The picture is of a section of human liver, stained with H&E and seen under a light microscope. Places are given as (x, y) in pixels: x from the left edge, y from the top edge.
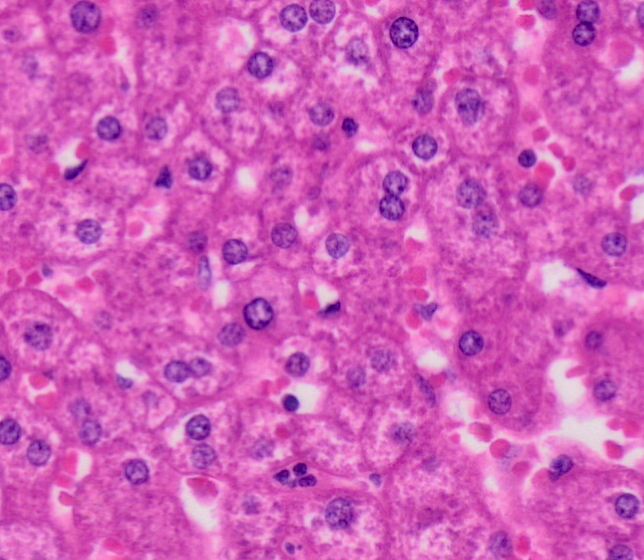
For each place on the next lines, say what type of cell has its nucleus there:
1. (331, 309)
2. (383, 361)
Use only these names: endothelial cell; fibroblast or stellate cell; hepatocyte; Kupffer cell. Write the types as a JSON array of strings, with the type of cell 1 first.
["endothelial cell", "hepatocyte"]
